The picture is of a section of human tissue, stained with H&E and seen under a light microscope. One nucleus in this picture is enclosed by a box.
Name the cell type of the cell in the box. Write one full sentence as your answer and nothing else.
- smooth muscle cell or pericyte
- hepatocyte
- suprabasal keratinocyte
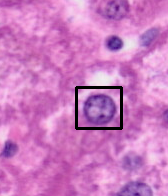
By its classification, the cell in the box is a hepatocyte.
